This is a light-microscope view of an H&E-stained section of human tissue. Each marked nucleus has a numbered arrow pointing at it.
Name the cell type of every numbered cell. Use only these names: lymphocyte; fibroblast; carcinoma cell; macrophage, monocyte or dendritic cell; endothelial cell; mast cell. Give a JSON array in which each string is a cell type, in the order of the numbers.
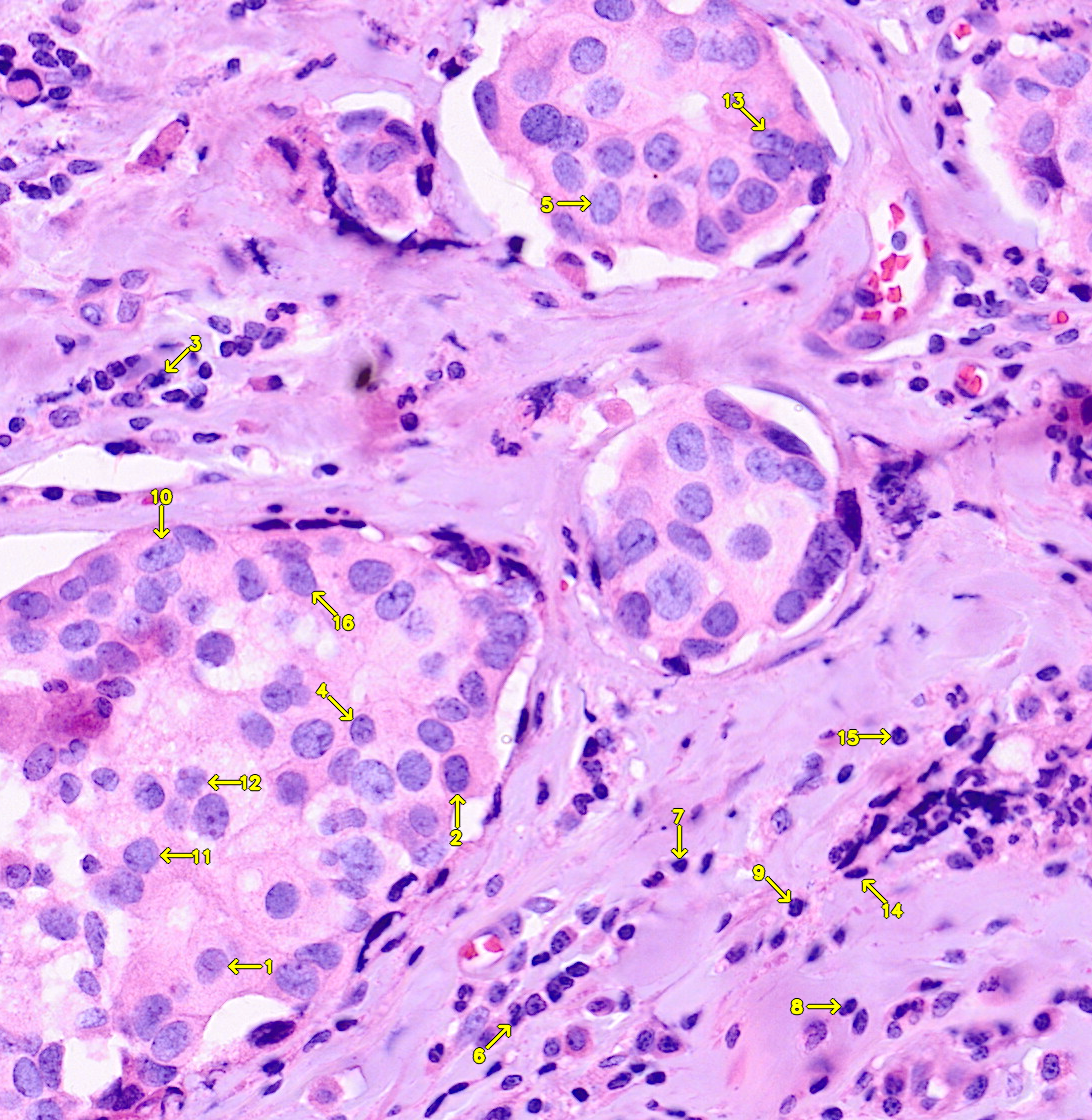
["carcinoma cell", "carcinoma cell", "lymphocyte", "carcinoma cell", "carcinoma cell", "lymphocyte", "lymphocyte", "lymphocyte", "lymphocyte", "carcinoma cell", "carcinoma cell", "carcinoma cell", "carcinoma cell", "lymphocyte", "lymphocyte", "carcinoma cell"]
